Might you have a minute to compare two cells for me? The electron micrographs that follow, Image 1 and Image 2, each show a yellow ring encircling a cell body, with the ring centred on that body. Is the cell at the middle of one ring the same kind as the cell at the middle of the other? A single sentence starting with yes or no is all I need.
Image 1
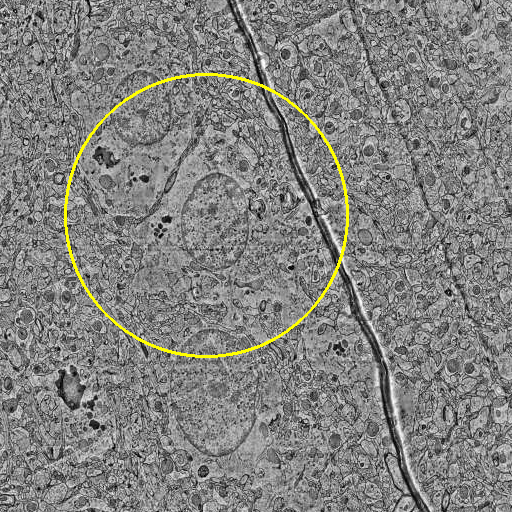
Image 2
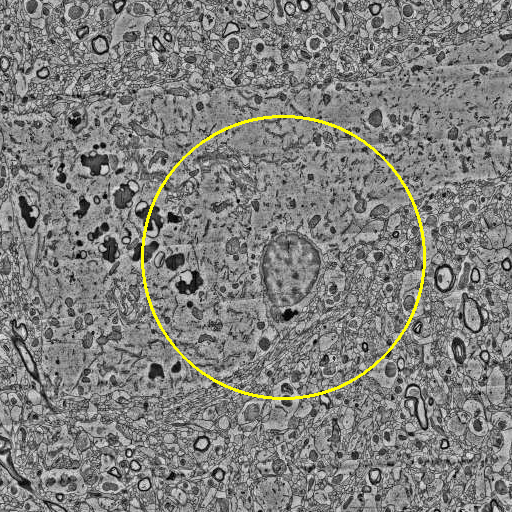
No, the cells in the middle of the two rings are of two separate kinds.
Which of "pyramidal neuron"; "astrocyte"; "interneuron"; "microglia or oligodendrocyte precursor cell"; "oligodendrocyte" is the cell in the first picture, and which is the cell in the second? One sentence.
The two differ: the first cell is an astrocyte and the second is an oligodendrocyte.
